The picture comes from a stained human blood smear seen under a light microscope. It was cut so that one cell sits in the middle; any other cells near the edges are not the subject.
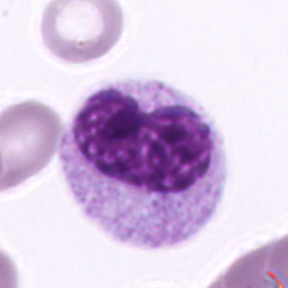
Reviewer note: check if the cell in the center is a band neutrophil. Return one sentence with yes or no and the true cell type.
No, at the middle of the crop is a metamyelocyte, not a band neutrophil.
